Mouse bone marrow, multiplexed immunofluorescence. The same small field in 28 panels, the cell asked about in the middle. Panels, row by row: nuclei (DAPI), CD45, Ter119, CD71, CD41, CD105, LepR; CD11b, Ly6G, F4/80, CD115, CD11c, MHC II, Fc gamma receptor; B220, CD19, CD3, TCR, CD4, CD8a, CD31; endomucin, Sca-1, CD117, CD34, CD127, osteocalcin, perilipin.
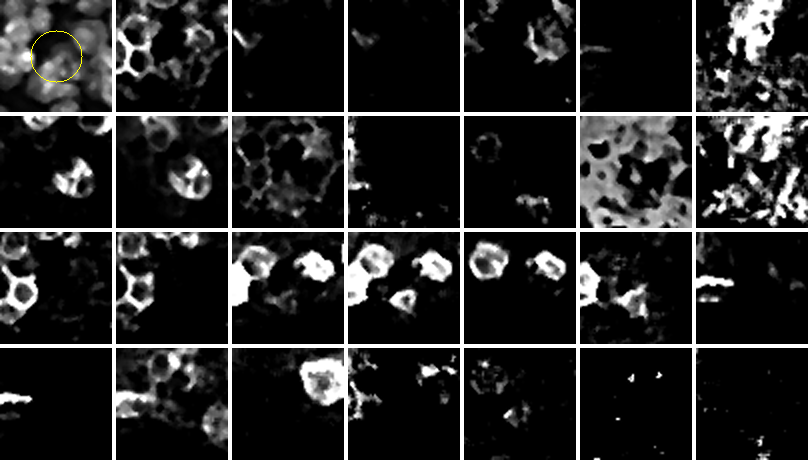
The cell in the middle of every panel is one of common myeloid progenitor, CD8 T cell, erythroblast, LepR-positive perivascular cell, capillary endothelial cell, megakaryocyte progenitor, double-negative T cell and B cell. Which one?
LepR-positive perivascular cell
